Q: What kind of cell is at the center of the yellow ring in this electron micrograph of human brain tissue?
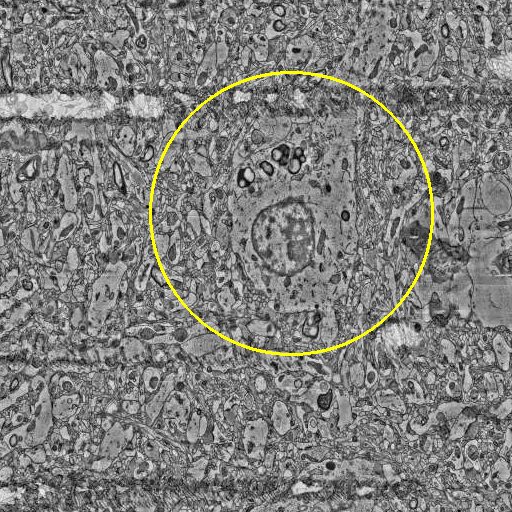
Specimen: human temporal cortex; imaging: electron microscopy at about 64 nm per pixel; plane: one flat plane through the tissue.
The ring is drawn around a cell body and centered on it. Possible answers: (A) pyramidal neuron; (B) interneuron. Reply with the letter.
A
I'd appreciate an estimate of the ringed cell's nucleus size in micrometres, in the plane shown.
Roughly 5 micrometres across, measured in this plane.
